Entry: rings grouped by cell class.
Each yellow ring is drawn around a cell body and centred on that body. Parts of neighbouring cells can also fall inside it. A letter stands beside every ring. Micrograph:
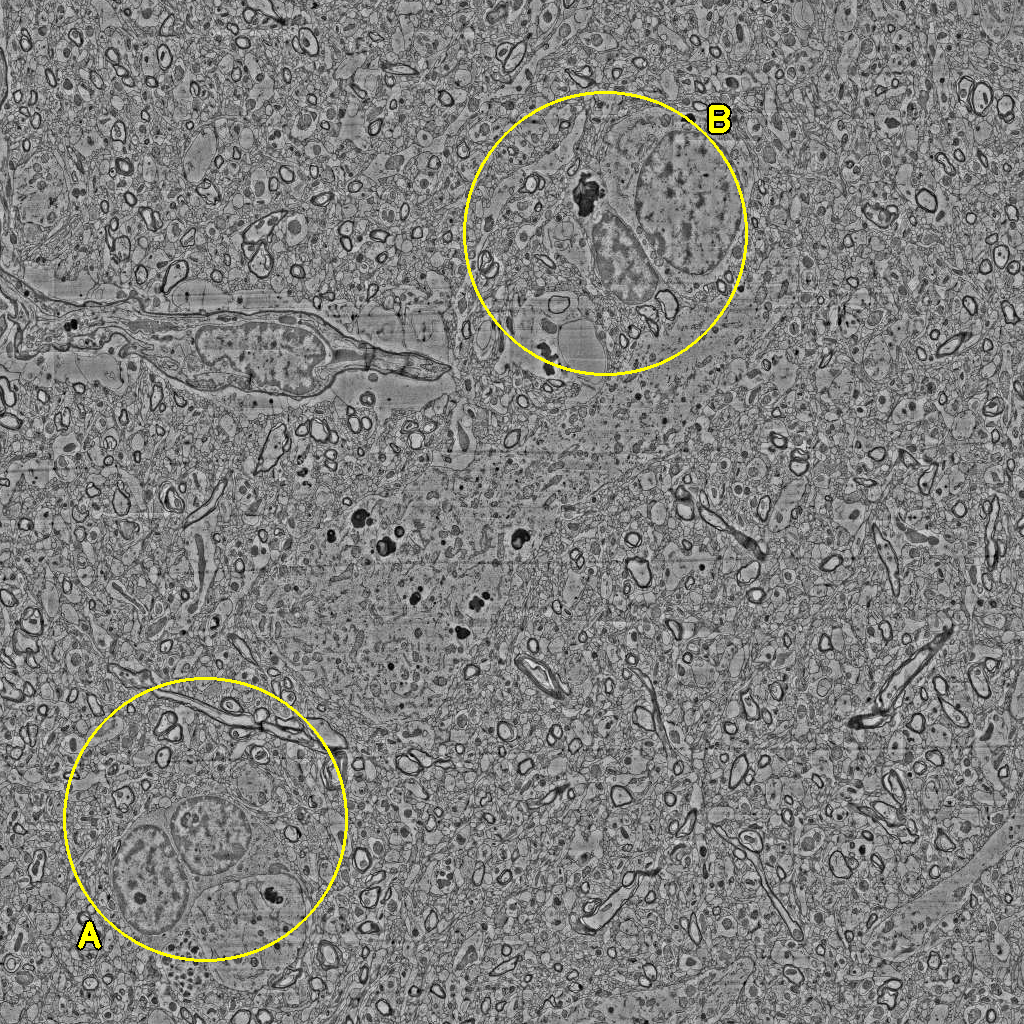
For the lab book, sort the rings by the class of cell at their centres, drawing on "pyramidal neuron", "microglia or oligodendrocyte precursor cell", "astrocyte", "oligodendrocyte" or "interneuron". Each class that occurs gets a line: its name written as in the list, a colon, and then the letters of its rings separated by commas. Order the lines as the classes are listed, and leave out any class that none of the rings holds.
microglia or oligodendrocyte precursor cell: B
oligodendrocyte: A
